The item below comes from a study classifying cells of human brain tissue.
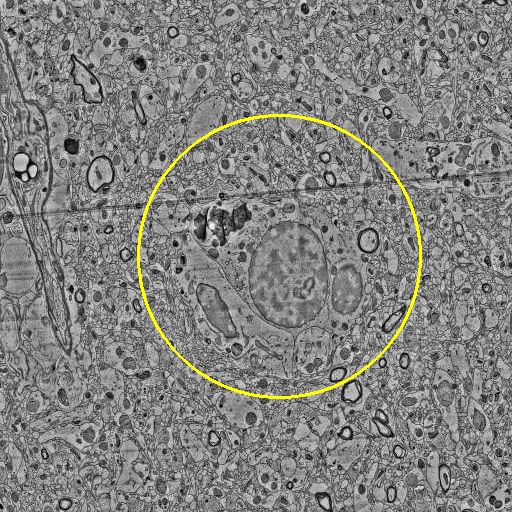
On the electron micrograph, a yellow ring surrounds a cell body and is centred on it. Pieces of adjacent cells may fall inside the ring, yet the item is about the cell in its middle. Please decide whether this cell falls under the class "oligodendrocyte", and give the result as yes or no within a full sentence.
Yes, the cell at the middle of the ring on the micrograph belongs in that class.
